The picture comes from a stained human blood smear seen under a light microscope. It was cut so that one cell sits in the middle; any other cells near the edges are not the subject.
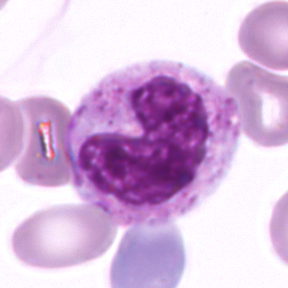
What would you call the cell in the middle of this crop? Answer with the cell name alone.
metamyelocyte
